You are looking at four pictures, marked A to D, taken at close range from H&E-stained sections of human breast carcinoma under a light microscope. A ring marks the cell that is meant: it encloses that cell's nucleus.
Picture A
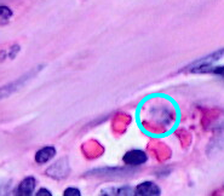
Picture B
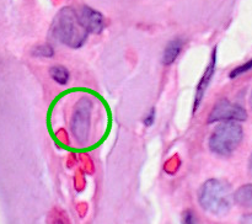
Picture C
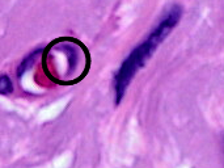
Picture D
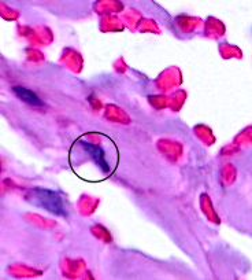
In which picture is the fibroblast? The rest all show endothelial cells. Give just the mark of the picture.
D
